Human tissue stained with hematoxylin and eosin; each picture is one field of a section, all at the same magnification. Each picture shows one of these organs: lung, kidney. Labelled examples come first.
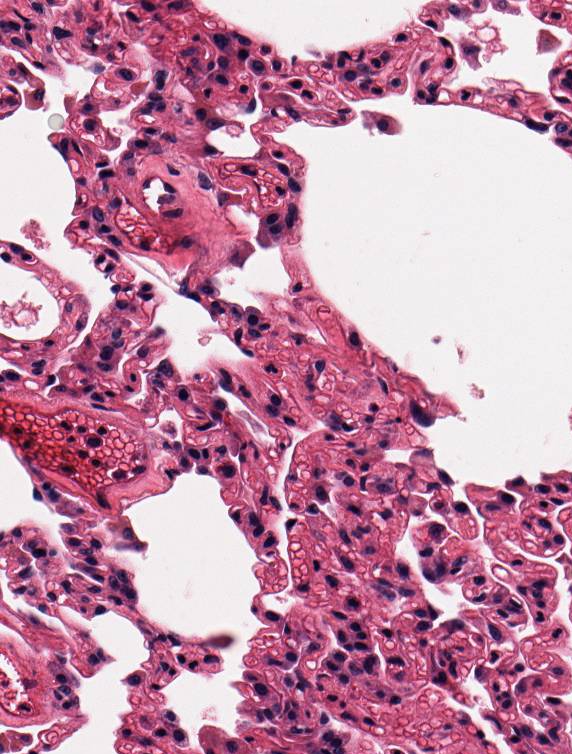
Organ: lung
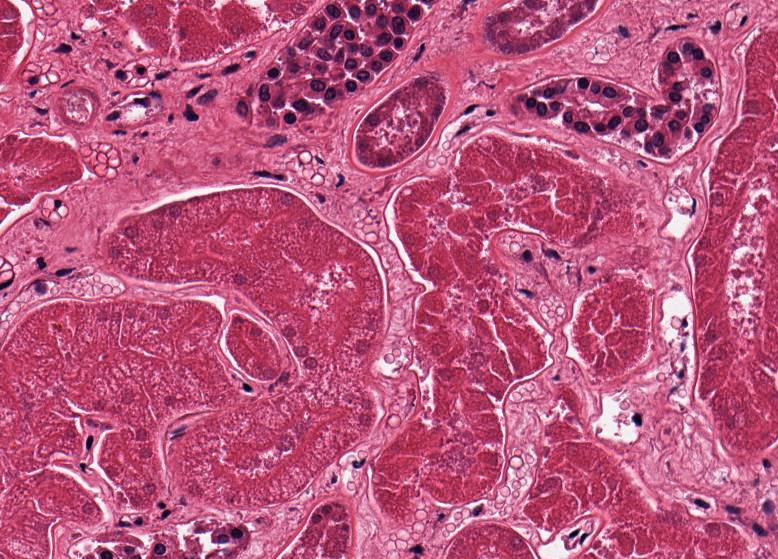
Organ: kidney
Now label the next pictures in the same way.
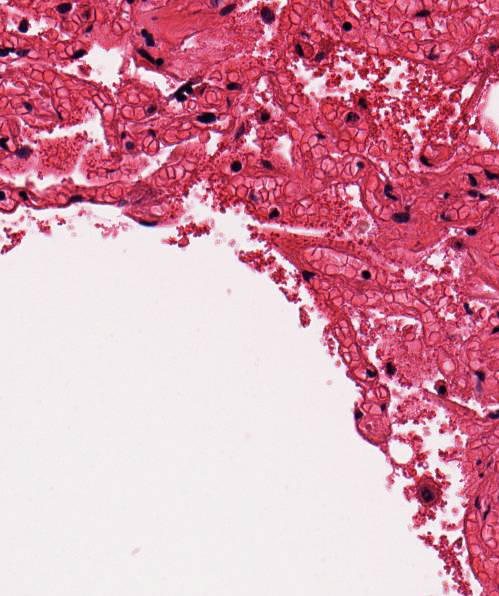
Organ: lung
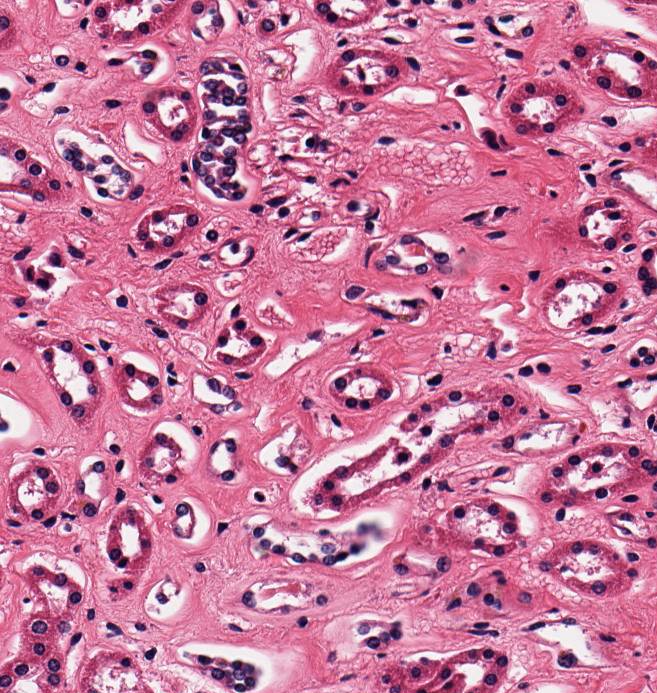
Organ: kidney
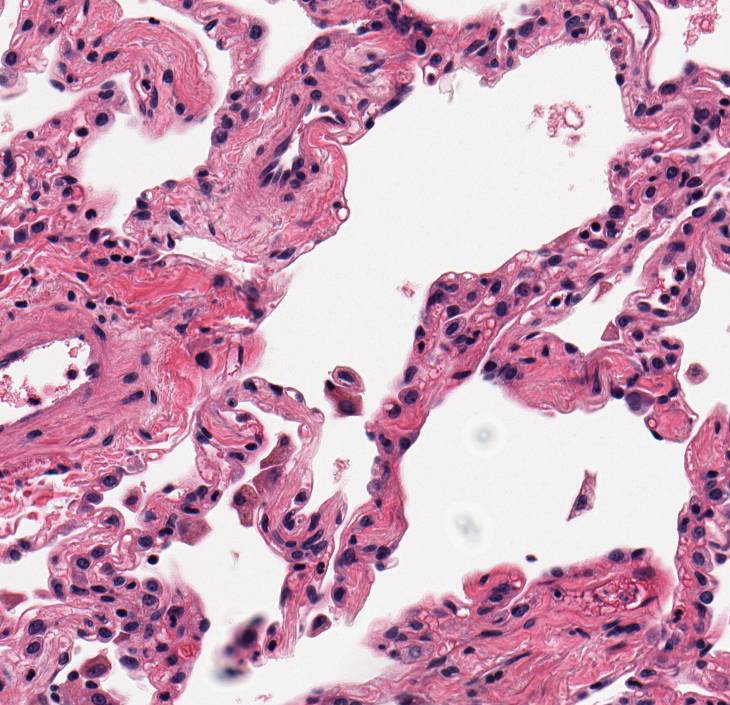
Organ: lung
